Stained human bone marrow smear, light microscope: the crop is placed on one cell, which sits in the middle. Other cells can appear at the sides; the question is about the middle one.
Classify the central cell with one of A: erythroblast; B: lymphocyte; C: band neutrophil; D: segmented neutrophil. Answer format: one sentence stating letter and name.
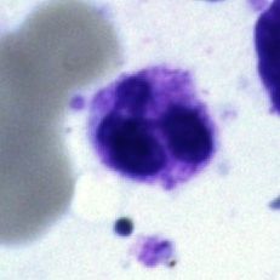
At the centre of the crop lies a segmented neutrophil, which makes option D correct.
